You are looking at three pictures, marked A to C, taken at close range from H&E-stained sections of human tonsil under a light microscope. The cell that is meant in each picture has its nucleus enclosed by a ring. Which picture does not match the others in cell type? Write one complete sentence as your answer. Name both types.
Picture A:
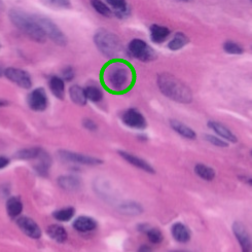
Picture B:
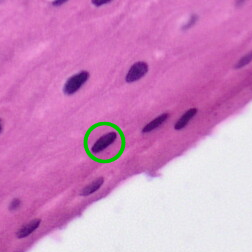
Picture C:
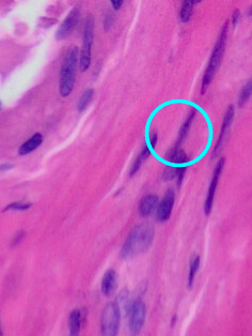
The others show endothelial cells, but picture B shows a squamous epithelial cell.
